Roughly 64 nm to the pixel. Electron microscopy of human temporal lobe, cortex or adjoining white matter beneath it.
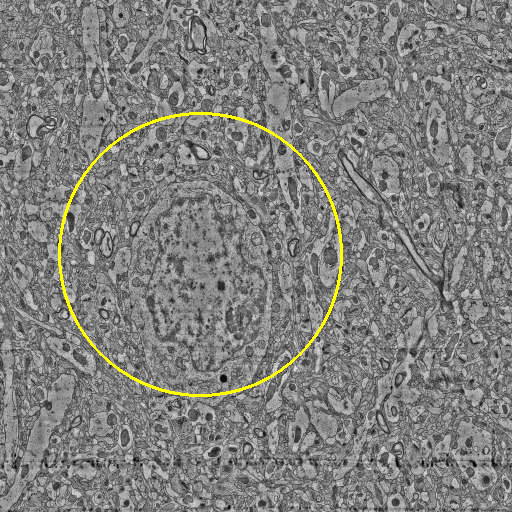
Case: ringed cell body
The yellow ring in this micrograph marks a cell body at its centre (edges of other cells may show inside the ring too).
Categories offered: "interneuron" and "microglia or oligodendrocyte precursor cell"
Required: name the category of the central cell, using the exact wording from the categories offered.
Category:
interneuron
